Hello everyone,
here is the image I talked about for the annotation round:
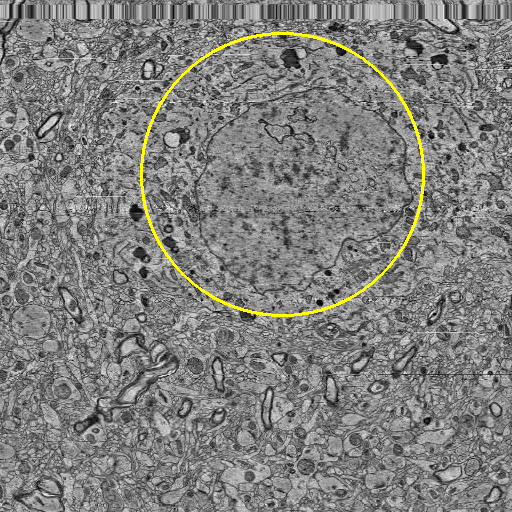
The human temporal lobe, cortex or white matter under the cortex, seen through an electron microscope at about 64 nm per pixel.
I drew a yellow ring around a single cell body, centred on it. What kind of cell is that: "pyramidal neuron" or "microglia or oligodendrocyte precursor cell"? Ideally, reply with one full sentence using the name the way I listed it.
The cell your yellow ring is centred on is a pyramidal neuron, going by your list.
